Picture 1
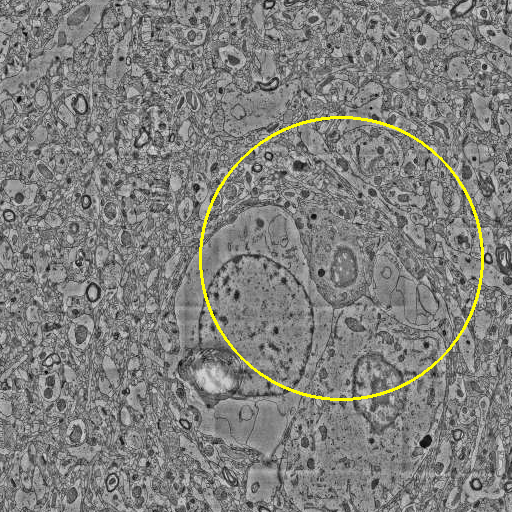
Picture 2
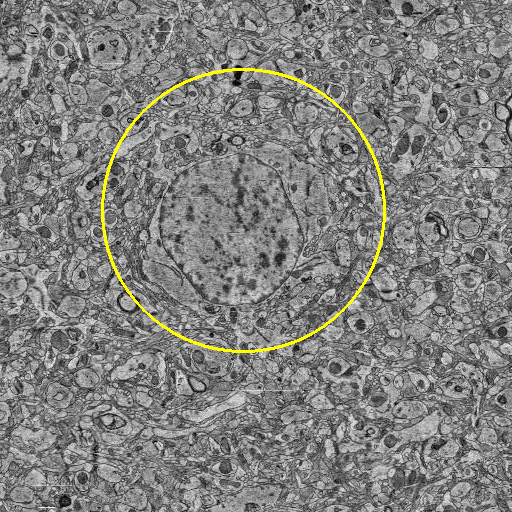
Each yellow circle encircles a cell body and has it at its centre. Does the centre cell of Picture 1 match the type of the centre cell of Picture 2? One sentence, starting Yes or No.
No, the cell centred in Picture 1 and the one in Picture 2 have separate types.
